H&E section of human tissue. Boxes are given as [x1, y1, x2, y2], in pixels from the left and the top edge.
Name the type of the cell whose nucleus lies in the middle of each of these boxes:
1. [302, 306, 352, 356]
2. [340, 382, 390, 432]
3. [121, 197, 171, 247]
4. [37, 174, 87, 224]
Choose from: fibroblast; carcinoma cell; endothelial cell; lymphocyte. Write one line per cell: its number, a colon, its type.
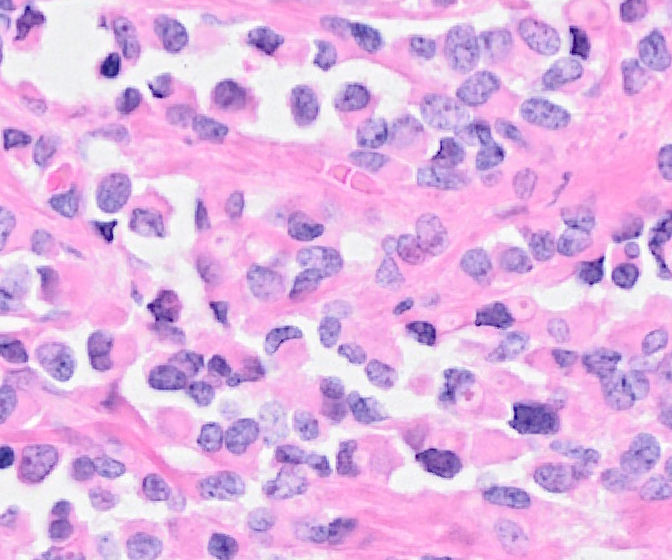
1: carcinoma cell
2: carcinoma cell
3: carcinoma cell
4: endothelial cell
